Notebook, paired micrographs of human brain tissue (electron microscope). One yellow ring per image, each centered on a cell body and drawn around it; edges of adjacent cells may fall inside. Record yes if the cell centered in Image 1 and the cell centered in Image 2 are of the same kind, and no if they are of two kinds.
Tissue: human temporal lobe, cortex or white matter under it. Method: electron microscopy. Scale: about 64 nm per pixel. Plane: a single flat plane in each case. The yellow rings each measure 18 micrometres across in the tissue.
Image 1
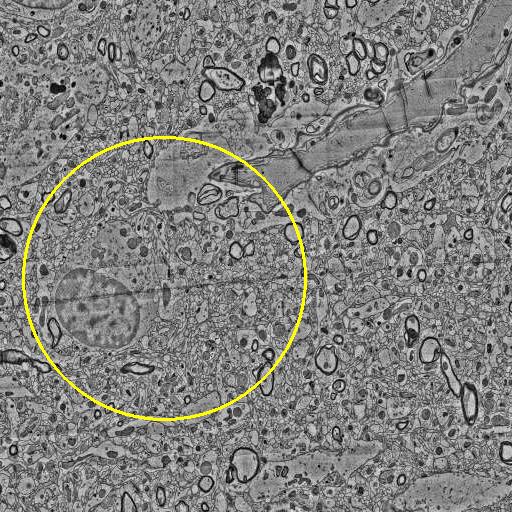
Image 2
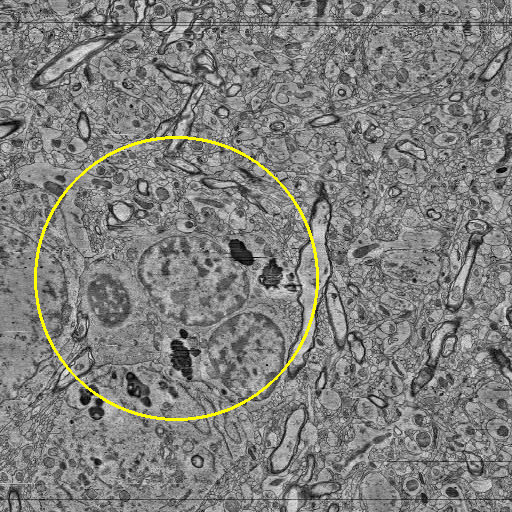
yes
